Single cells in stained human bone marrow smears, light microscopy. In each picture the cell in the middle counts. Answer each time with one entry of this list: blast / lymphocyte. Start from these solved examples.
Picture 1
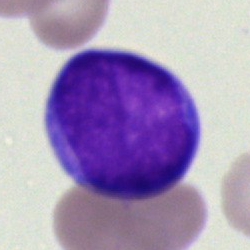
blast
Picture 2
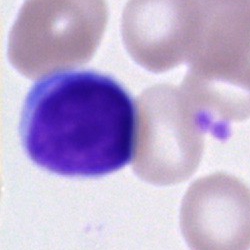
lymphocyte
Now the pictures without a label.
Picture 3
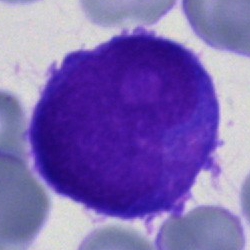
blast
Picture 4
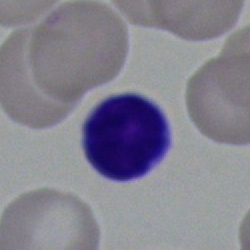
lymphocyte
